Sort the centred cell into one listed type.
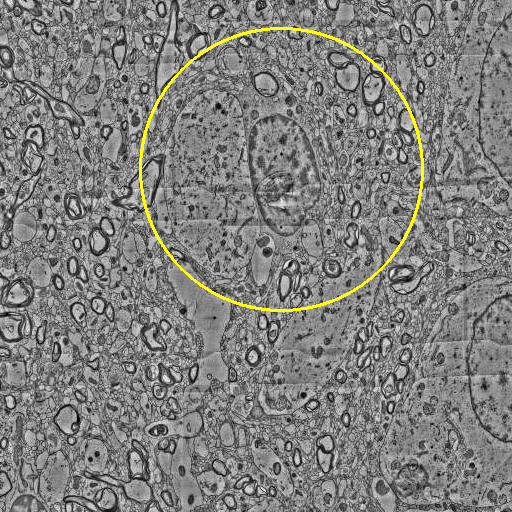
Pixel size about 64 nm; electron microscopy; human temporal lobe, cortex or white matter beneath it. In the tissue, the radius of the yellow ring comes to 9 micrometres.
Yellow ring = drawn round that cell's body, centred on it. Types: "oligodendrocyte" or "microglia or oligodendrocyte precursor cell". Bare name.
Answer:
oligodendrocyte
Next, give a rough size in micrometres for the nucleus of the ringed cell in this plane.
Roughly 8 micrometres by 4 micrometres, in this plane.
